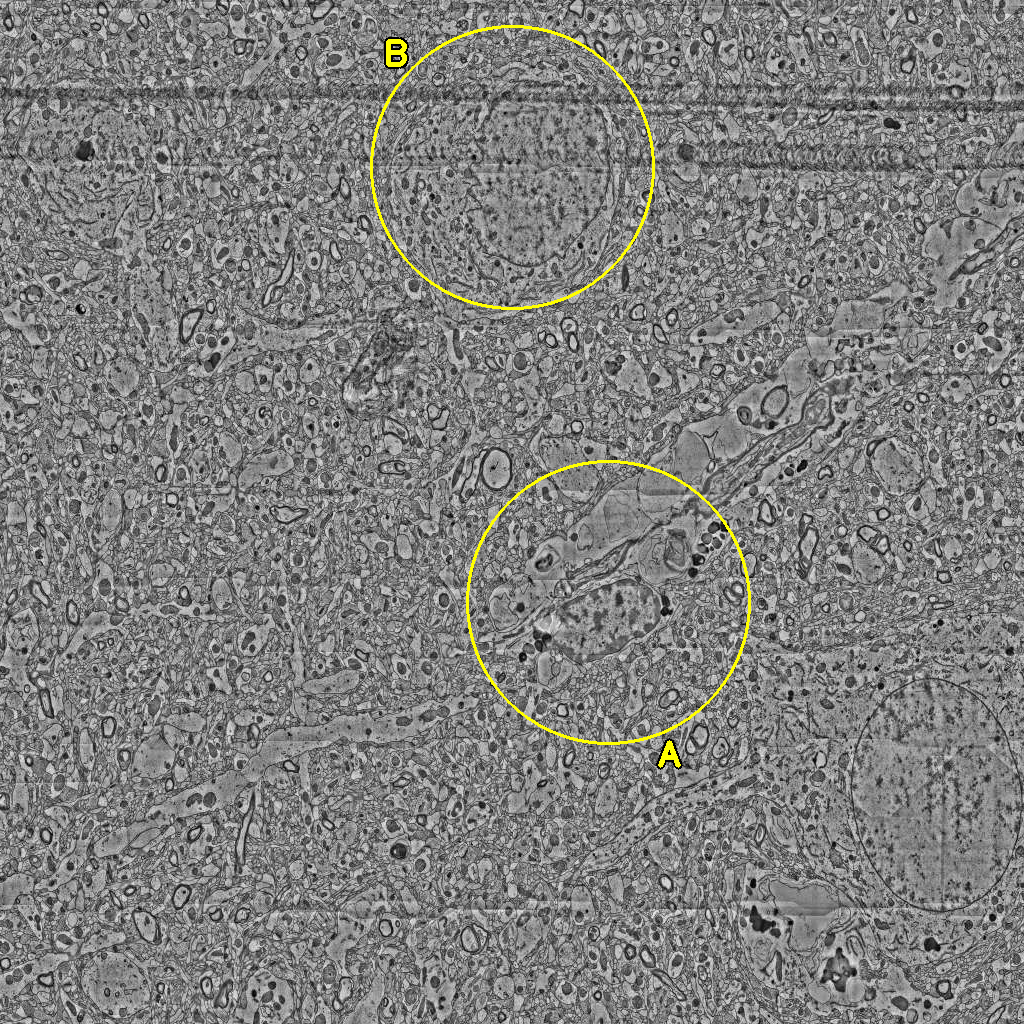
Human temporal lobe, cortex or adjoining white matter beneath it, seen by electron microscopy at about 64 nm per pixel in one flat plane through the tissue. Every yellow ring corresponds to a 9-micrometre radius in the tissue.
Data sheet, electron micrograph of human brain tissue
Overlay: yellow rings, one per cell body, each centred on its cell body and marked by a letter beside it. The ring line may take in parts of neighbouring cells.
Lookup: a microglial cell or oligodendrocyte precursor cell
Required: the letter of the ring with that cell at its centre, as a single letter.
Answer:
A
